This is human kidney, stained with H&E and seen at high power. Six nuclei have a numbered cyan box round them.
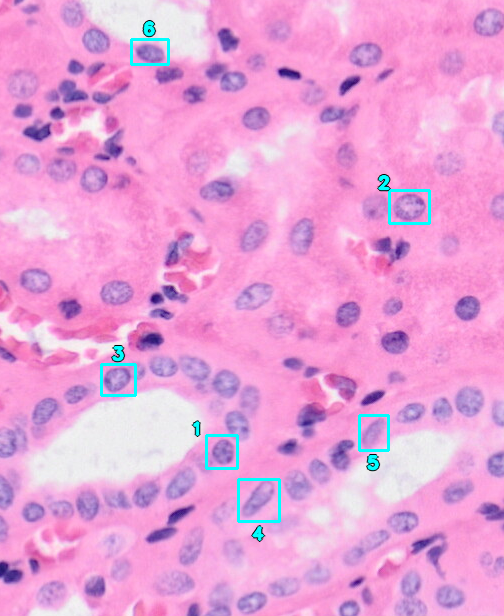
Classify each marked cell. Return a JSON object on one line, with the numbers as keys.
{"1": "collecting duct cell", "2": "proximal tubule cell", "3": "collecting duct cell", "4": "collecting duct cell", "5": "collecting duct cell", "6": "loop of Henle or distal tubule cell"}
